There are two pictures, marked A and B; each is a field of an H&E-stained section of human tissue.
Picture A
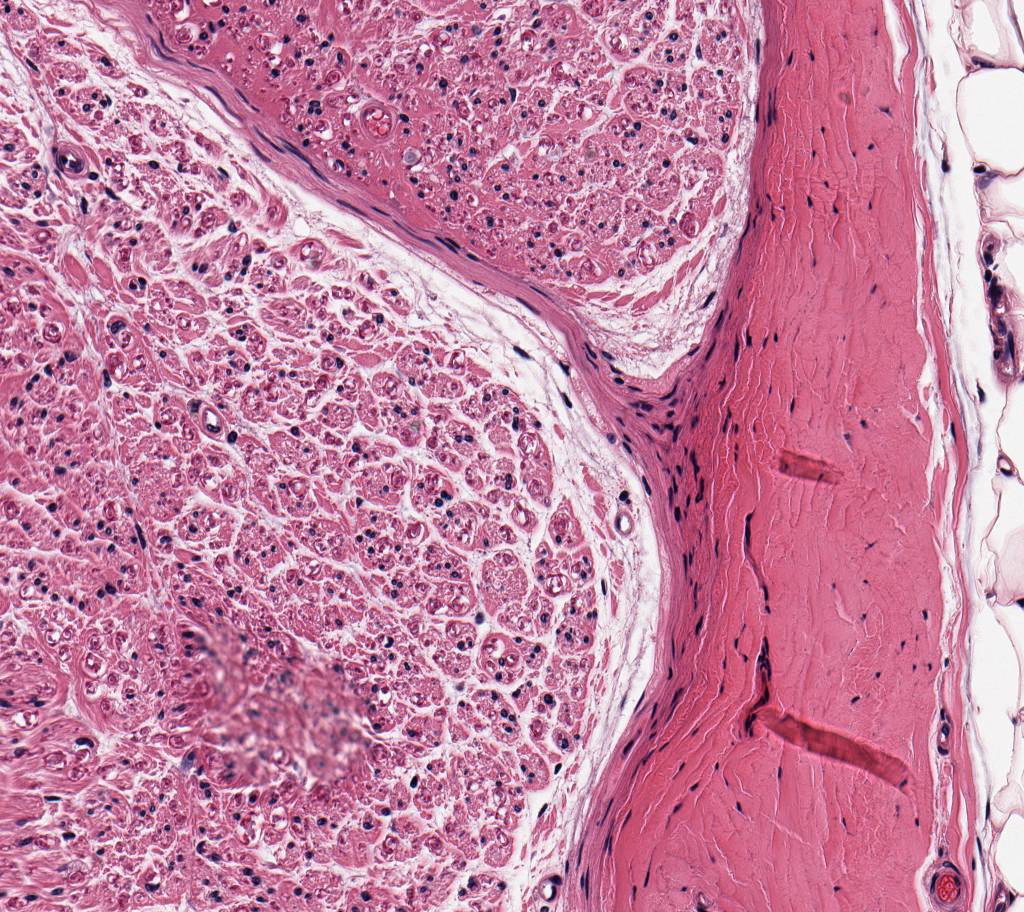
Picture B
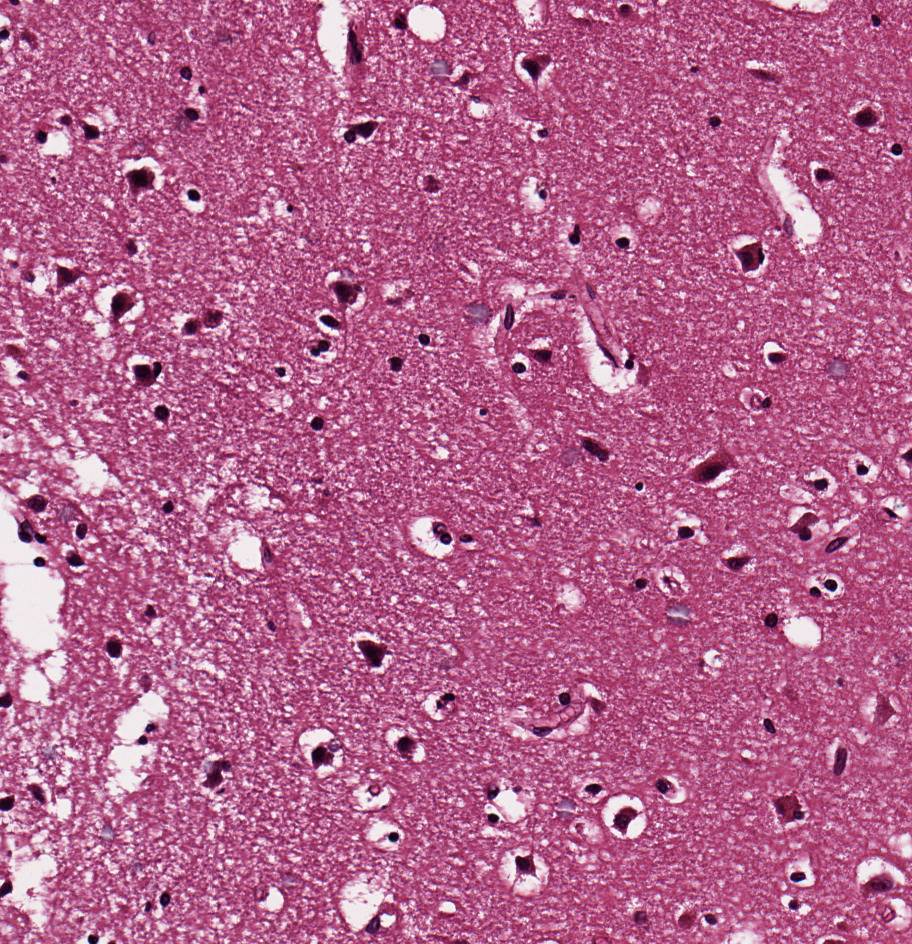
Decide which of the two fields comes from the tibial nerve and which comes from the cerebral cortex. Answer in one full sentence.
Picture B comes from the cerebral cortex, while picture A comes from the tibial nerve.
